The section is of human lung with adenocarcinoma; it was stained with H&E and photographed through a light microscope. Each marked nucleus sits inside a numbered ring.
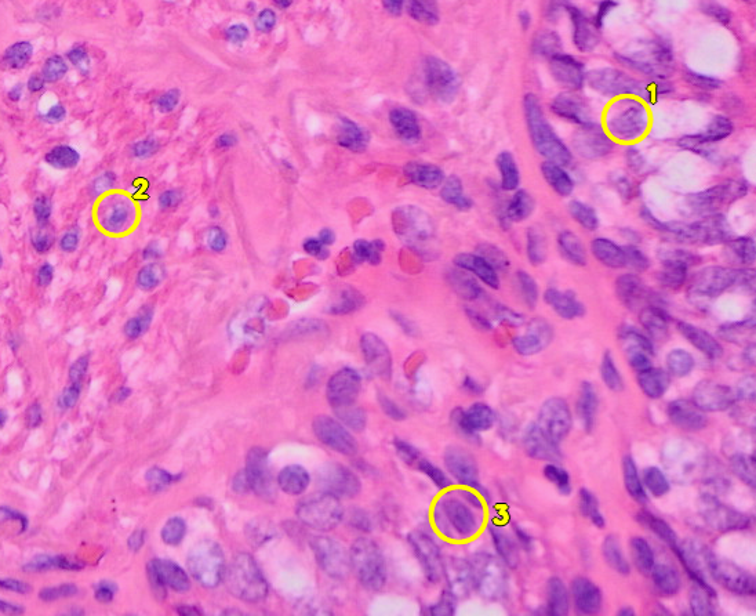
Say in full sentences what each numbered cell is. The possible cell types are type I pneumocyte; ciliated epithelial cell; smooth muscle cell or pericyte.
Cells 1 and 3 are ciliated epithelial cells. Cell 2 is a smooth muscle cell or pericyte.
